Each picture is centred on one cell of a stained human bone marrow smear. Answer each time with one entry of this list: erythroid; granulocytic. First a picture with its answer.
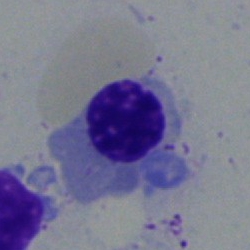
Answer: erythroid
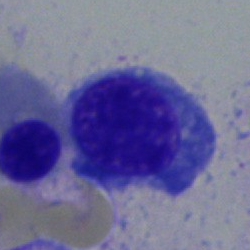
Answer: erythroid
